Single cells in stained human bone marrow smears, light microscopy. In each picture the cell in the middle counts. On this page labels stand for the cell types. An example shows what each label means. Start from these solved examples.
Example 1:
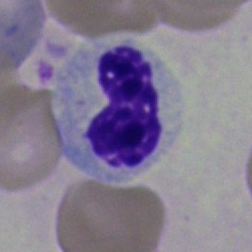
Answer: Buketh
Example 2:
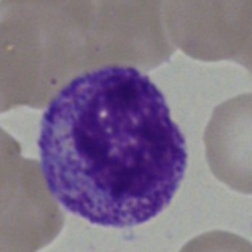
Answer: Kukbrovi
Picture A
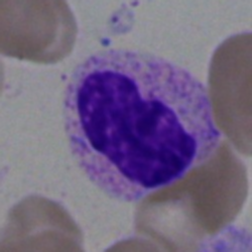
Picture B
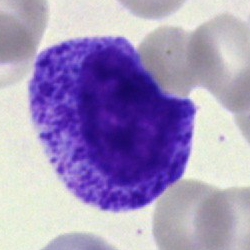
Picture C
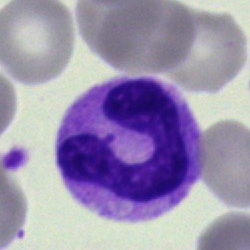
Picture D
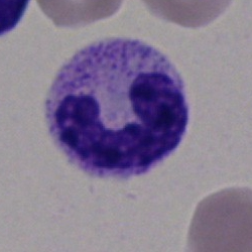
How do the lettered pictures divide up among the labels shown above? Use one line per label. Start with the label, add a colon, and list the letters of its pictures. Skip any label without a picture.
Buketh: A, C, D
Kukbrovi: B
